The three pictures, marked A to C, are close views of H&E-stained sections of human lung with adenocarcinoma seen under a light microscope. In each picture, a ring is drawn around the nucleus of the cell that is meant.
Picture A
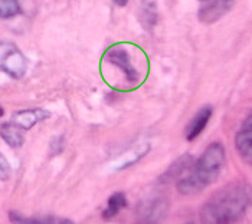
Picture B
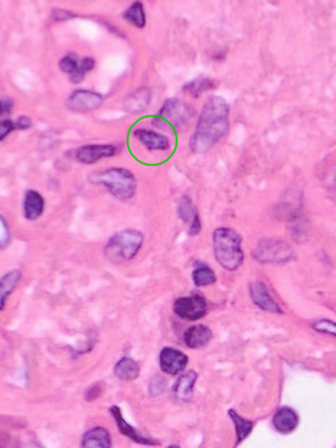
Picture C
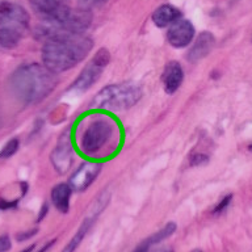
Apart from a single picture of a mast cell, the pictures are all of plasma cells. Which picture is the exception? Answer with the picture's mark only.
B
